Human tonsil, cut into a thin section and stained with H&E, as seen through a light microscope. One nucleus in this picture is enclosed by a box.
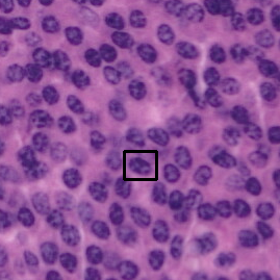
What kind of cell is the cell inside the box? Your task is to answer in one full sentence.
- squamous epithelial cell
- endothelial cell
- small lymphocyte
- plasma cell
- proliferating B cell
Right, so the cell inside the box is a plasma cell, to answer that.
